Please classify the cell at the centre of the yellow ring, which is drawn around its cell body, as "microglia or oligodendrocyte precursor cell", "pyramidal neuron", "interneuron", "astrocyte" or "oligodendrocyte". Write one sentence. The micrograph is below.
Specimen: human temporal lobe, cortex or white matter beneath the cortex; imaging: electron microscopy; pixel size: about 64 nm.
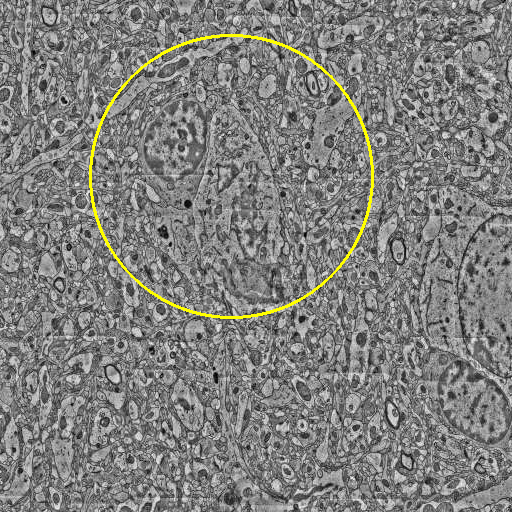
The cell at the ring's centre is classified as an interneuron.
